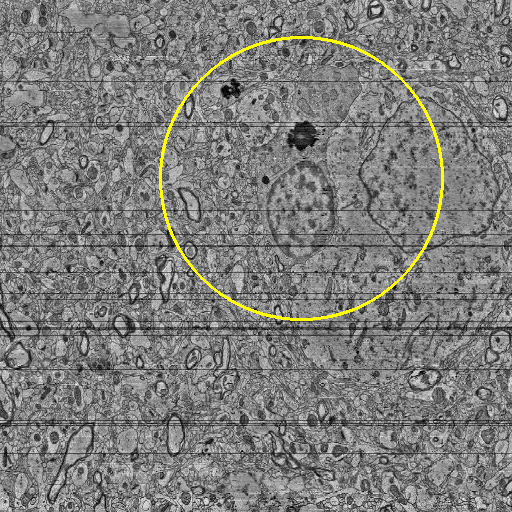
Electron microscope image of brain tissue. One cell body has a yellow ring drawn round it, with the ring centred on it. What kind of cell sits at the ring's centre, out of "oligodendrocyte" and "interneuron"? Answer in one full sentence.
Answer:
It is an oligodendrocyte whose cell body sits at the centre of the yellow ring.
